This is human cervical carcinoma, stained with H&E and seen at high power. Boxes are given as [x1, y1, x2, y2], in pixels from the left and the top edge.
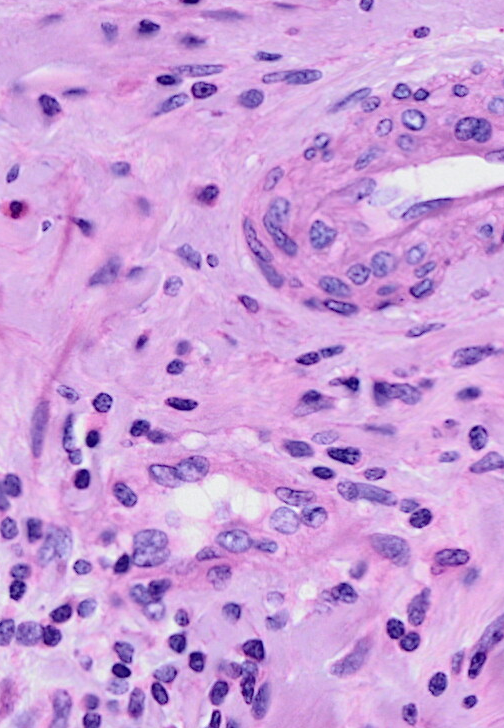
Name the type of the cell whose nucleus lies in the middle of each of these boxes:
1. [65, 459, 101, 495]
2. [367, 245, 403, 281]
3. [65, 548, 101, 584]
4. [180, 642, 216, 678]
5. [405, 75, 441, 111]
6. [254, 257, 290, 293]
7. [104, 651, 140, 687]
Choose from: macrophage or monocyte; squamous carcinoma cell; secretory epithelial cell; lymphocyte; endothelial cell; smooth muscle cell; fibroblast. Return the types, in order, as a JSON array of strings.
["lymphocyte", "smooth muscle cell", "lymphocyte", "lymphocyte", "smooth muscle cell", "smooth muscle cell", "lymphocyte"]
